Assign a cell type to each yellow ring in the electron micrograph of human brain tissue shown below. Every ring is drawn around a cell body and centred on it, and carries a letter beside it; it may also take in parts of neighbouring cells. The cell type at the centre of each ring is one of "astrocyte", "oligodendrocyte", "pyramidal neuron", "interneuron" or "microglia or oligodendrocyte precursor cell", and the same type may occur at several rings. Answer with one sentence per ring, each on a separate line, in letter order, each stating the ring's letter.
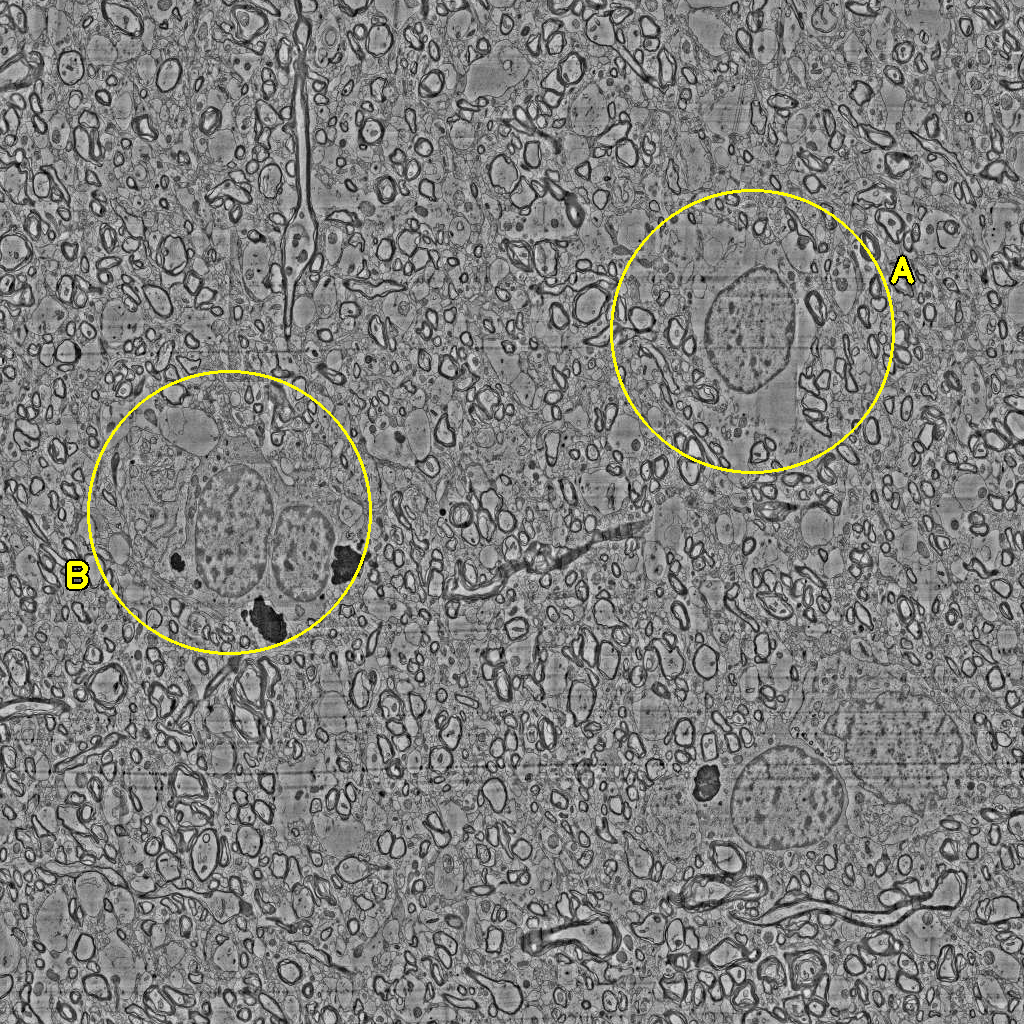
The cell at ring A's centre is an astrocyte.
The cell at ring B's centre is an oligodendrocyte.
